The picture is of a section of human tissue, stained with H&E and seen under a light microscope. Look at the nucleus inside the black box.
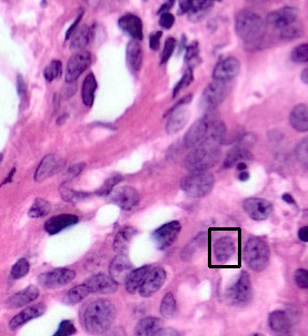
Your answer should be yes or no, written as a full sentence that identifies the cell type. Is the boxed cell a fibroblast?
No, the boxed cell is termed a carcinoma cell, not a fibroblast.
